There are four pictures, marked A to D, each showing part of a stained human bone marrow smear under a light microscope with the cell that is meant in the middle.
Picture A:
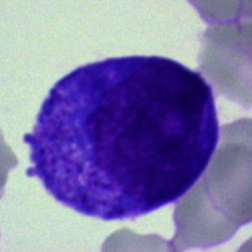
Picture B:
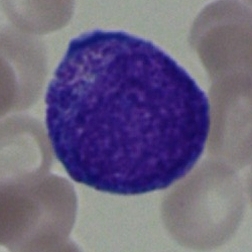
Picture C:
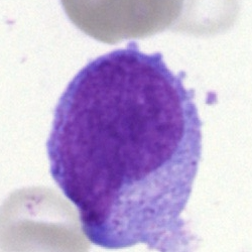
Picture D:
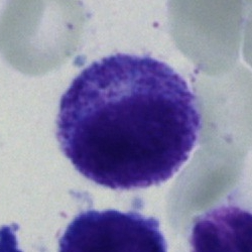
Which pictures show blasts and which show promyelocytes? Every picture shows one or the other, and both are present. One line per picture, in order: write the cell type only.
promyelocyte
promyelocyte
blast
promyelocyte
